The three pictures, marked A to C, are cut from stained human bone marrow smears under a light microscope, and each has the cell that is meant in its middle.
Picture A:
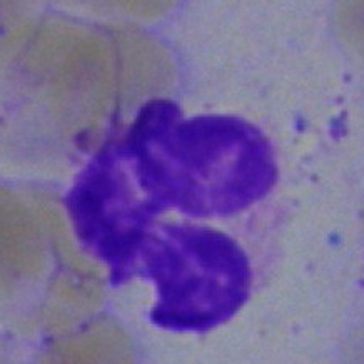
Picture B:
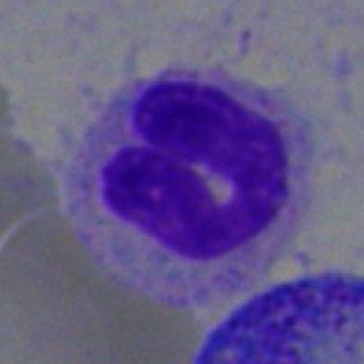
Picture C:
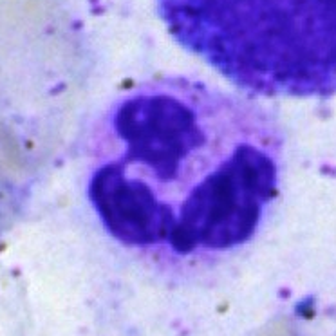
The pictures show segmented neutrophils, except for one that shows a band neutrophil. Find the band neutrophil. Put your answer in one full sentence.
The picture with the band neutrophil is B.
